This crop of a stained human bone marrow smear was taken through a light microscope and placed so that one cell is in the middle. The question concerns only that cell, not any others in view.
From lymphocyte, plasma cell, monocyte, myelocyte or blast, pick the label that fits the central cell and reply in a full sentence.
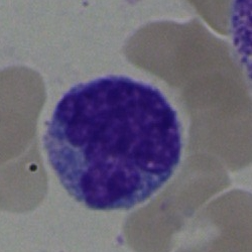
The central cell, amid any neighbouring cells, is a monocyte.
